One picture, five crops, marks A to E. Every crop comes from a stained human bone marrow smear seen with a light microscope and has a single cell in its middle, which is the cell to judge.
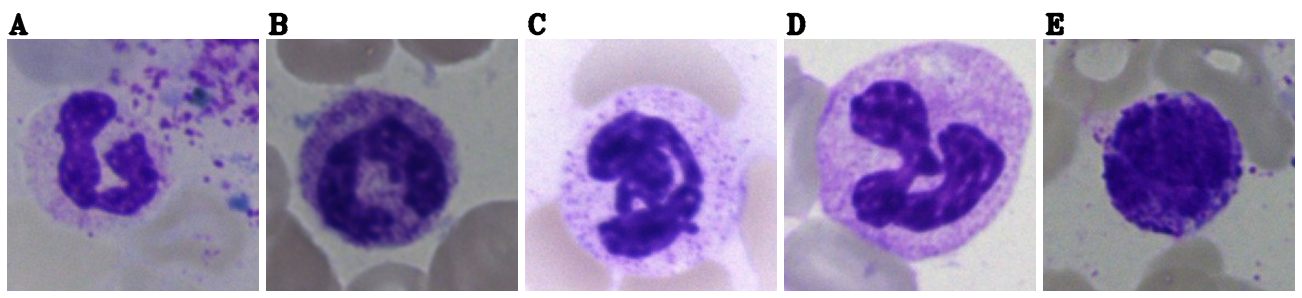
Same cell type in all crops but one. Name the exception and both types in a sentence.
Crop E shows a basophil, while all of the others show segmented neutrophils.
